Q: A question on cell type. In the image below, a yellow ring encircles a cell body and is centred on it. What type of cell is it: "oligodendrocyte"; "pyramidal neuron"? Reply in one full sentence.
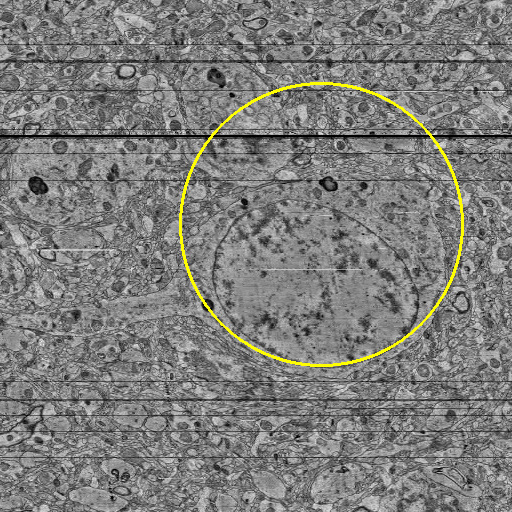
It is a pyramidal neuron whose cell body sits at the centre of the yellow ring in the image.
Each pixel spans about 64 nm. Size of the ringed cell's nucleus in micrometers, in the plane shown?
The ringed cell's nucleus measures approximately 13 by 10 micrometres in this plane.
